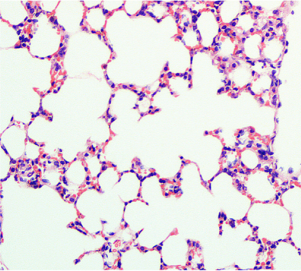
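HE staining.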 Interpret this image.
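This is lung parenchyma with alveoli separated by thin septa. The alveolar walls are delicate pink strands carrying scattered small blue-purple nuclei. The air spaces are wide, open and empty, forming a lace-like network. No dense clusters of cells or material fill the alveoli.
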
